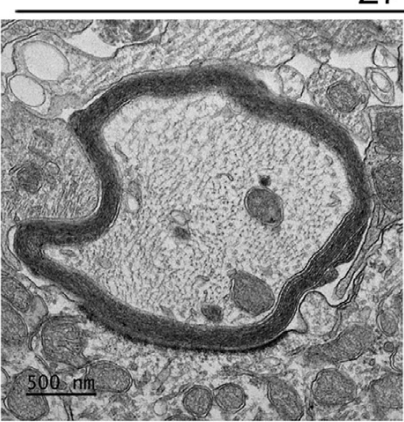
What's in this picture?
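Transmission electron micrograph of an axon in cross section wrapped by a compact myelin sheath. The axon profile is irregular, with one side folded inward, and its axoplasm holds many small dot-like cytoskeletal profiles and a few mitochondria. The sheath appears as a thick, uniformly dark band of tightly packed lamellae running around the whole circumference. The surrounding neuropil contains other cell processes with mitochondria showing cristae, and pale vesicular profiles at the upper left.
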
